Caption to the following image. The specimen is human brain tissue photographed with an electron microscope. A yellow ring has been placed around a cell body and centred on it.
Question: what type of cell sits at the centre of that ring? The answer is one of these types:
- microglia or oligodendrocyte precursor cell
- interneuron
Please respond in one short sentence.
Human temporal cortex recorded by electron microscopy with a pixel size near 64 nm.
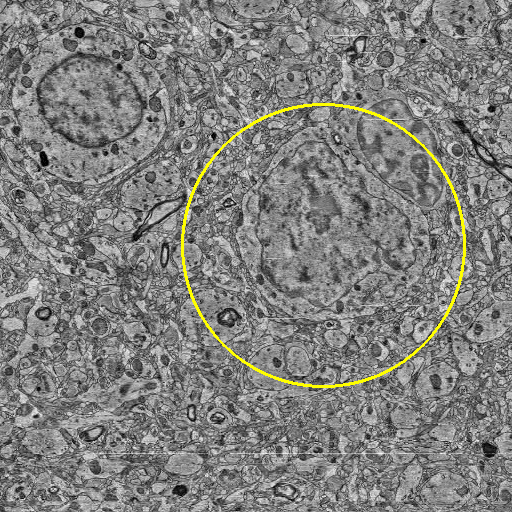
The ring surrounds the cell body of an interneuron.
